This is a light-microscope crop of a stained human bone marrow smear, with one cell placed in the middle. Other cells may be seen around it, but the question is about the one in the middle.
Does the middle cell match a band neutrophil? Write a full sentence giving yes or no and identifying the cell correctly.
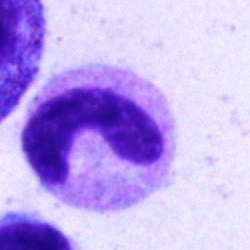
Yes, the cell that occupies the centre is a band neutrophil.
